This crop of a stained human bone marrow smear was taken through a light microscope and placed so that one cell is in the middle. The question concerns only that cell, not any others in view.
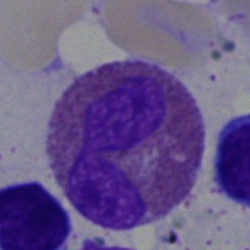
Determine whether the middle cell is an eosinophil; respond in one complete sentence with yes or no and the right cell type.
Yes, the cell in the center of the field is an eosinophil.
